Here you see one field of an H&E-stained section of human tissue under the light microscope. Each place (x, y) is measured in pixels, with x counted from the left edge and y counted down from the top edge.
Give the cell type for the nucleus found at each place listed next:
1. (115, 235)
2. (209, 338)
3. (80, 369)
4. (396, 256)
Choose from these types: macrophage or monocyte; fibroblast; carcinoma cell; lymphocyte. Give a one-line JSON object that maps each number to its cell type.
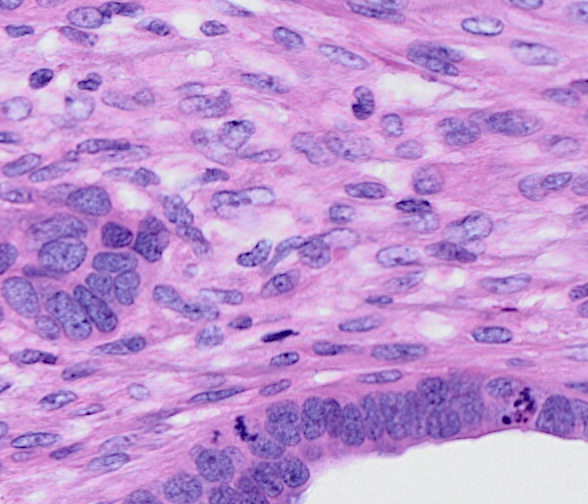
{"1": "carcinoma cell", "2": "fibroblast", "3": "fibroblast", "4": "fibroblast"}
